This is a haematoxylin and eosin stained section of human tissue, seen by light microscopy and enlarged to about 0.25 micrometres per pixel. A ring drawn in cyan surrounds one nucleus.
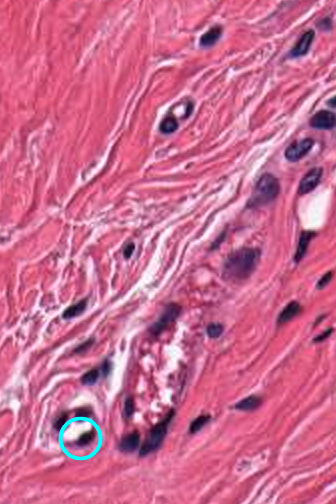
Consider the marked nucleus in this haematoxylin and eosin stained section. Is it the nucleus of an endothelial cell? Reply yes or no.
yes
